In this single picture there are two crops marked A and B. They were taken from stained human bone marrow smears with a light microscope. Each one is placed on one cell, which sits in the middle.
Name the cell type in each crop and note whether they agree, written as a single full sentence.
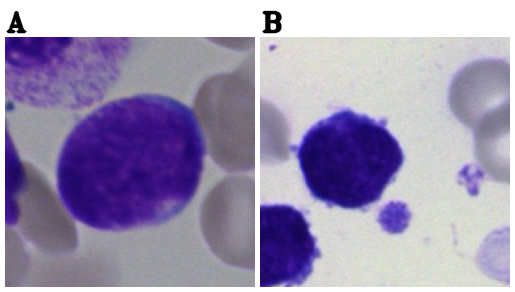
Yes, the cells centred in the two crops are both blasts.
